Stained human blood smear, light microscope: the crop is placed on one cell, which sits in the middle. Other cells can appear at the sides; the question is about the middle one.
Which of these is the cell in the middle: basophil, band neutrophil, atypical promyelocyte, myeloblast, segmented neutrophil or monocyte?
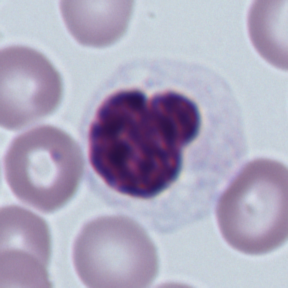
segmented neutrophil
